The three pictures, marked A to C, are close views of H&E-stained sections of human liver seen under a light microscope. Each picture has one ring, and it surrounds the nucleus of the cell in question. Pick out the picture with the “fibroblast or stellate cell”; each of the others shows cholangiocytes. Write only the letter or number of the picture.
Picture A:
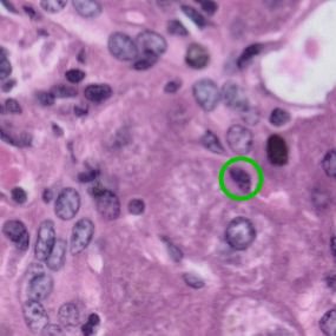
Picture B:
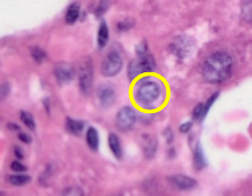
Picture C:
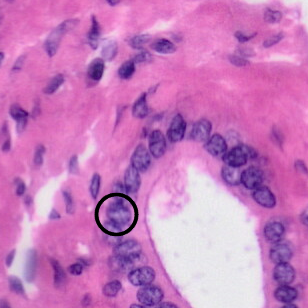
A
